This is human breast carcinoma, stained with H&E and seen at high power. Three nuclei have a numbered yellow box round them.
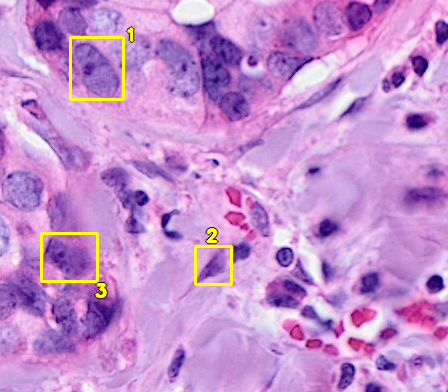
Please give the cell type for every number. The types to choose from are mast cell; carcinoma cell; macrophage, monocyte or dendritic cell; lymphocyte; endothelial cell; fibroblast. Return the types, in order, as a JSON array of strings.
["carcinoma cell", "fibroblast", "carcinoma cell"]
